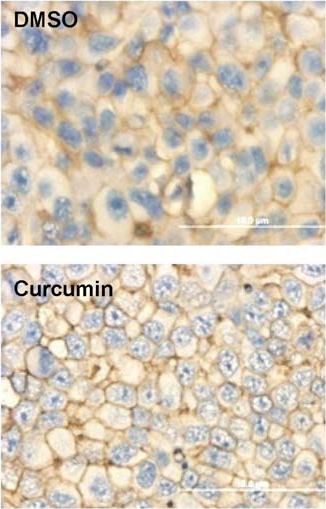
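Both images show solid tumor tissue made of densely packed, polygonal to rounded tumor cells with no glandular spaces or intervening stroma. The nuclei are round to oval and counterstained blue. The cytoplasm is pale. Brown stain lies along the cell borders and outlines the cells like a honeycomb. In the upper image the nuclei look larger and more loosely spaced, and the brown border stain is faint and patchy. In the lower image the cells are smaller and more crowded, and a crisp brown rim surrounds almost every cell. Little brown stain is seen within the nuclei in either image.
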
